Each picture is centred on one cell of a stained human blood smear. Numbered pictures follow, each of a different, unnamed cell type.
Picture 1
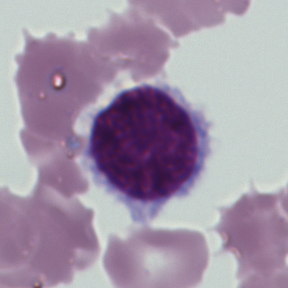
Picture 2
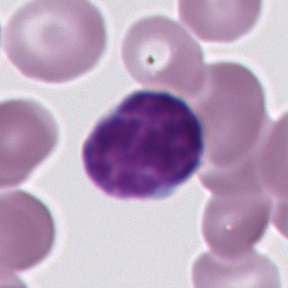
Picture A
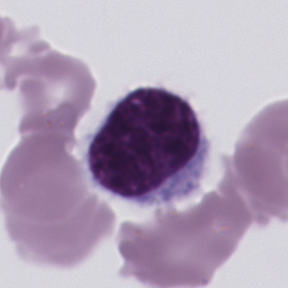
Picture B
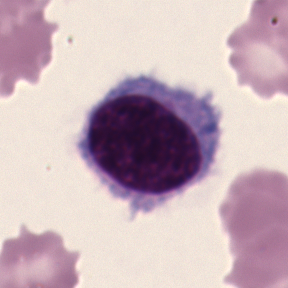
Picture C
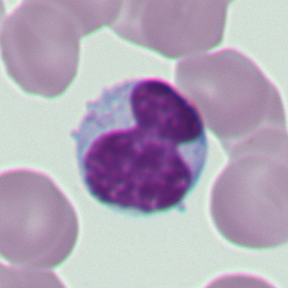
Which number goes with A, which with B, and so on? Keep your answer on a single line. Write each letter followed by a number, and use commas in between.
A 1, B 1, C 2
